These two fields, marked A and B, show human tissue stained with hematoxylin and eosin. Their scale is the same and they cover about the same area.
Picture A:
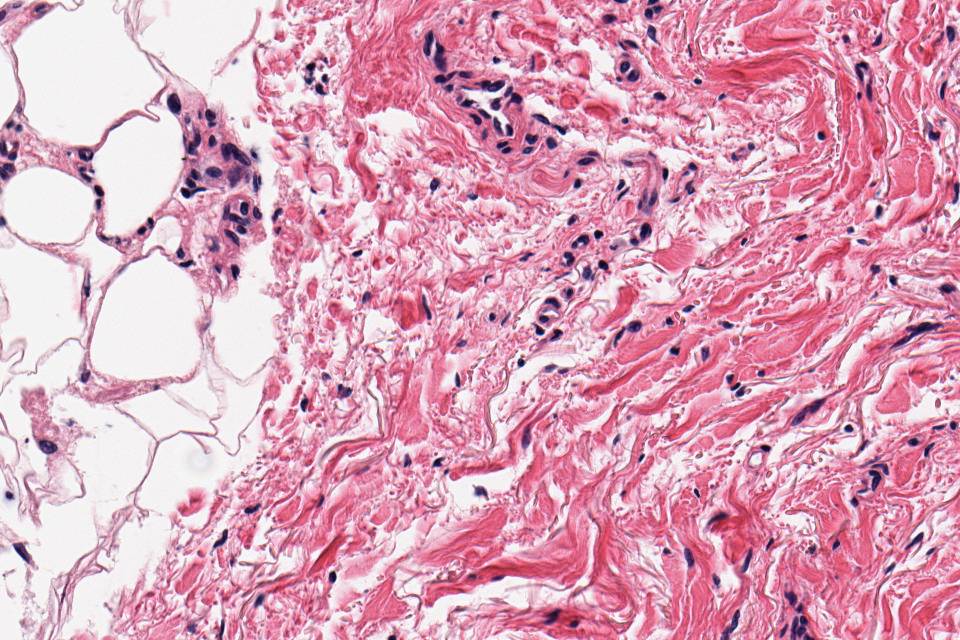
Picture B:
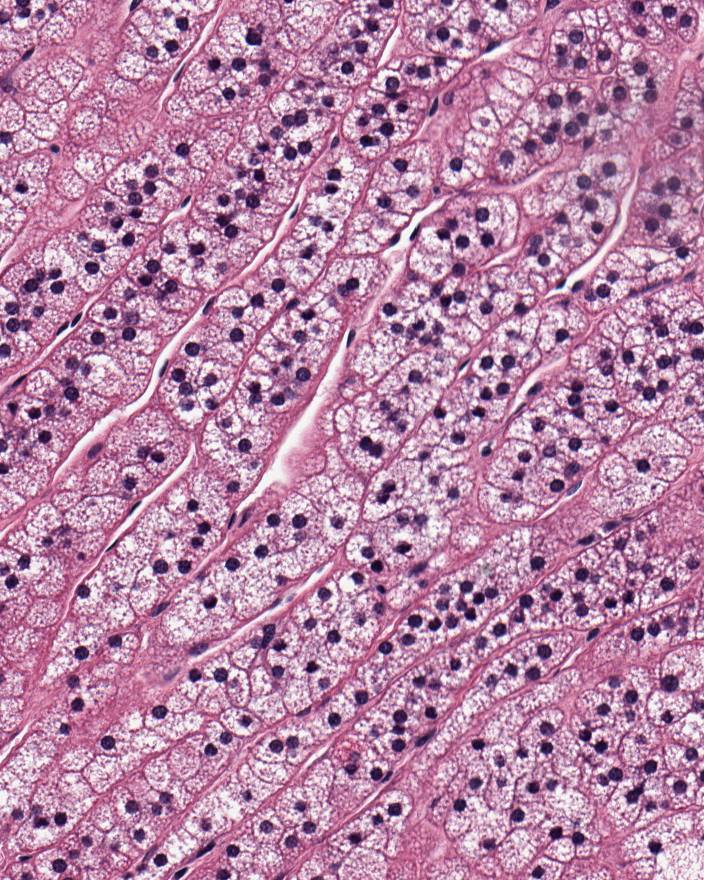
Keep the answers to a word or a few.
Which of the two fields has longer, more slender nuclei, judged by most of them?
A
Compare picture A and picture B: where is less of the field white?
B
